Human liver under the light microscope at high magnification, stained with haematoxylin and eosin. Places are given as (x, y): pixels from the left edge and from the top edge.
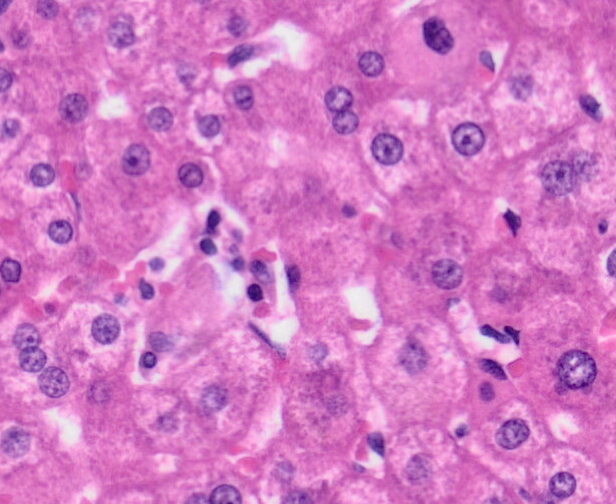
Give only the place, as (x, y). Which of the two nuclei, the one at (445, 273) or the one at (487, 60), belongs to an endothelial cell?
(487, 60)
